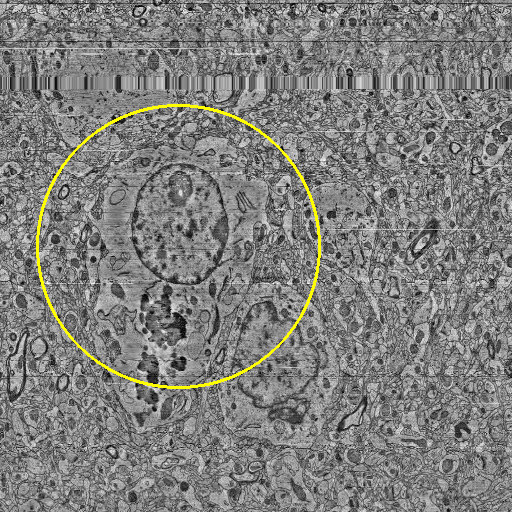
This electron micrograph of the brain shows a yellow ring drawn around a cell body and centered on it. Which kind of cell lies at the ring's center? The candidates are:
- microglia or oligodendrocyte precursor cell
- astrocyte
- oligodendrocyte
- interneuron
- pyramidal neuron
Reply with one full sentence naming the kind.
The cell lying at the ring's center in this micrograph is an astrocyte.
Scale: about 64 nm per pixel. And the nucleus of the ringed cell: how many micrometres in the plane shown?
The nucleus works out at approximately 8 by 6 micrometres in this plane.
